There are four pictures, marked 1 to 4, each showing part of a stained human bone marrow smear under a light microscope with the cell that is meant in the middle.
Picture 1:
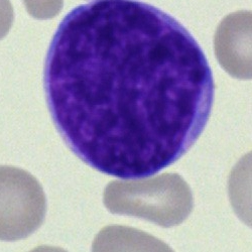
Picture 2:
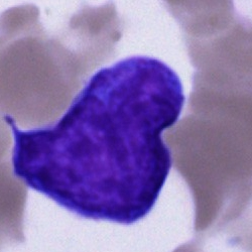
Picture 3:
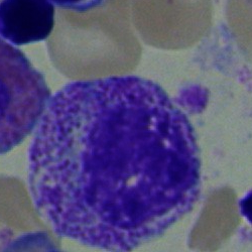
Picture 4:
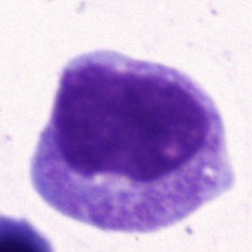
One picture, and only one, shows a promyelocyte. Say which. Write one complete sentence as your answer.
The cell in picture 4 is the promyelocyte.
